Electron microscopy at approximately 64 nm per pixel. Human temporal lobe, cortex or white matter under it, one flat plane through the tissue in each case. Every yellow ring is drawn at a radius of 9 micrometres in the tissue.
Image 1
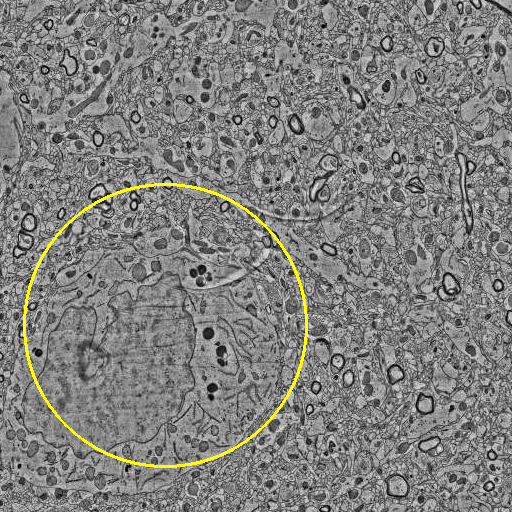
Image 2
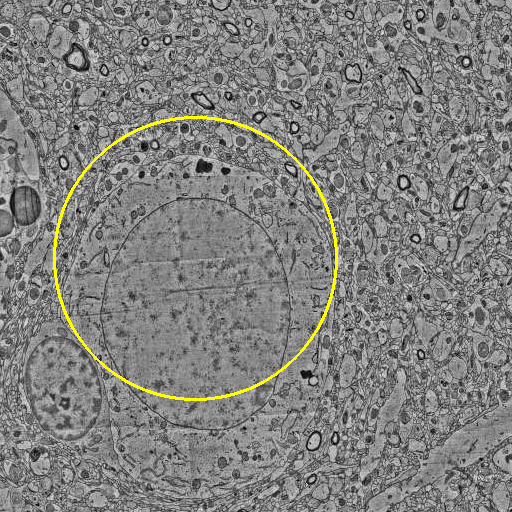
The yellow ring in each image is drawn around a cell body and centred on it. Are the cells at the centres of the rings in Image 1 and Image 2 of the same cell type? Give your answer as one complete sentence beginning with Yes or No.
No, the two cells are of two separate types.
